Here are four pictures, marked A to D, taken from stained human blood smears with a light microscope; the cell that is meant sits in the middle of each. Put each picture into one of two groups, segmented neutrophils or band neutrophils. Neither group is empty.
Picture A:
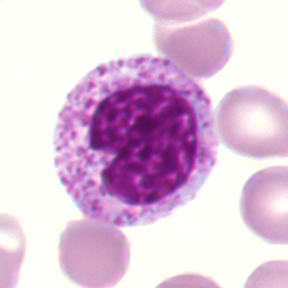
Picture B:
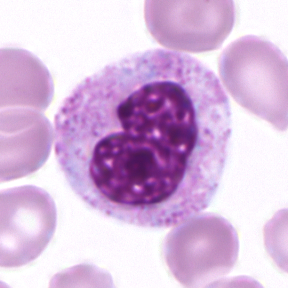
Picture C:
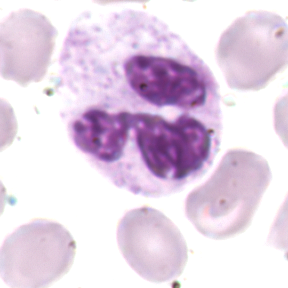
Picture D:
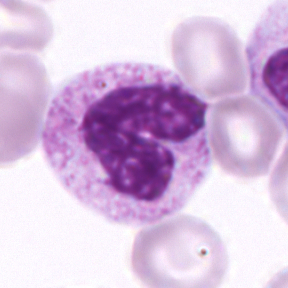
A: band neutrophil
B: band neutrophil
C: segmented neutrophil
D: band neutrophil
